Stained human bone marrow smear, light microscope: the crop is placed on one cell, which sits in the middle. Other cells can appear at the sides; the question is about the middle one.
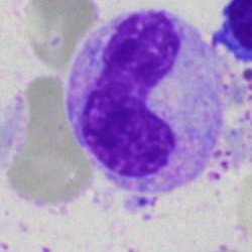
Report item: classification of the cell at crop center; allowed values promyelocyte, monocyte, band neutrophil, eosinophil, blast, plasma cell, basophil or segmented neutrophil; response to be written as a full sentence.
The middle of this crop holds a band neutrophil.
